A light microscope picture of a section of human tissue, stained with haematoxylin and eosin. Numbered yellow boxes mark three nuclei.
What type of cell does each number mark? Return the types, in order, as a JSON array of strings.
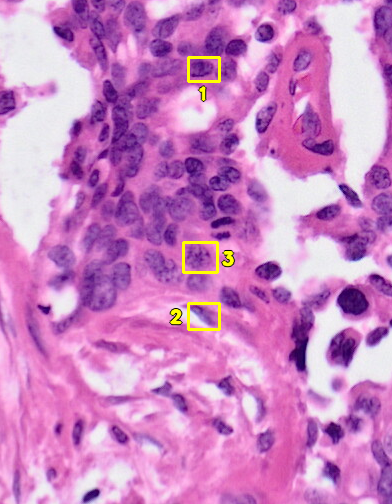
["carcinoma cell", "fibroblast", "carcinoma cell"]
